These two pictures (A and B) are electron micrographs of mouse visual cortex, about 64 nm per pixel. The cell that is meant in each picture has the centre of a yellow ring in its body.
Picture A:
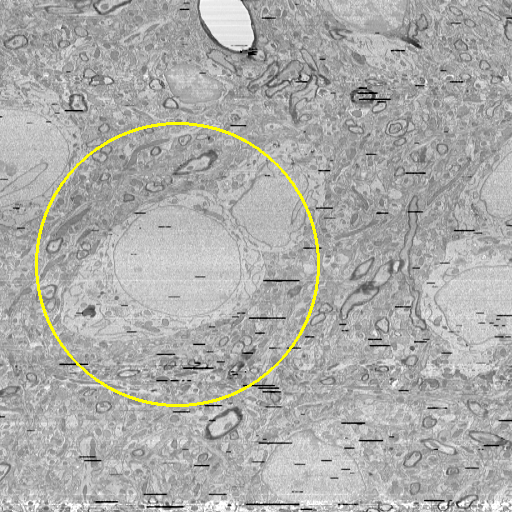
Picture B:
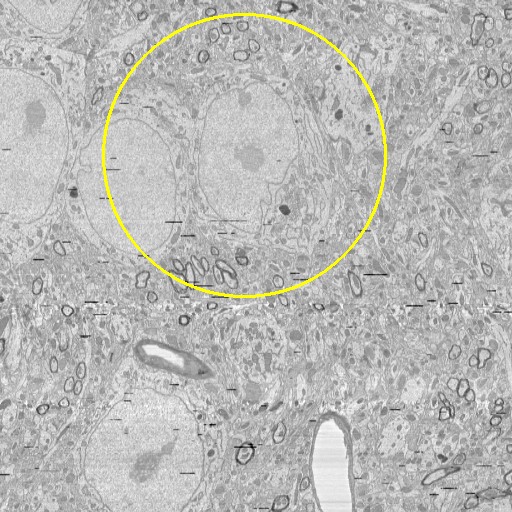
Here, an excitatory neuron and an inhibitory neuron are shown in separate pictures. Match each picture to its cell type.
It is picture A that shows an excitatory neuron, and picture B that shows an inhibitory neuron.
